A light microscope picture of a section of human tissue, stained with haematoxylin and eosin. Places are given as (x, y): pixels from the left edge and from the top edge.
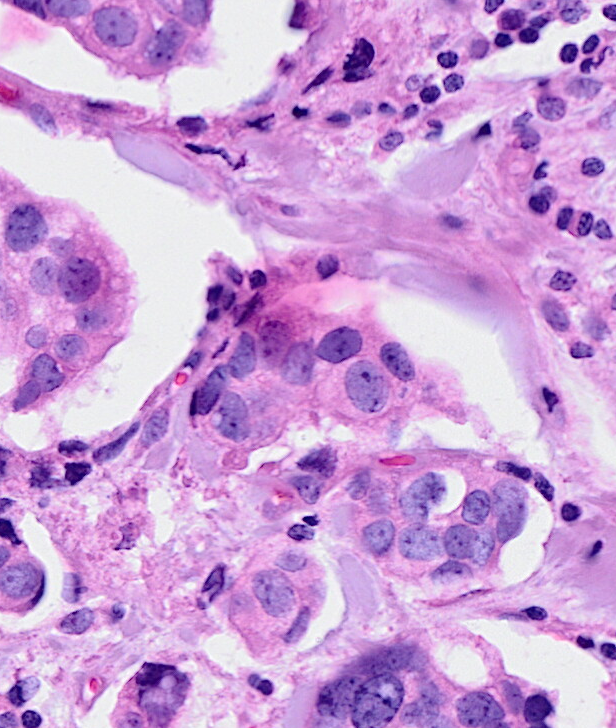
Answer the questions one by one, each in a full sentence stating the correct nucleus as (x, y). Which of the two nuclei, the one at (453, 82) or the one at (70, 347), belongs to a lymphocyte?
Of the two nuclei present, the one at (453, 82) is within a lymphocyte.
